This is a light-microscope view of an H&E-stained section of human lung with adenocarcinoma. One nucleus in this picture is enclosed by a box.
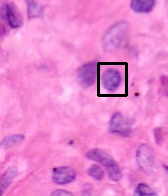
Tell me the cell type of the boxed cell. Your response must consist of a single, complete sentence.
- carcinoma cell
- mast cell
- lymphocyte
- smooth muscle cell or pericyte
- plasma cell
In terms of identity, the boxed cell is a mast cell.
